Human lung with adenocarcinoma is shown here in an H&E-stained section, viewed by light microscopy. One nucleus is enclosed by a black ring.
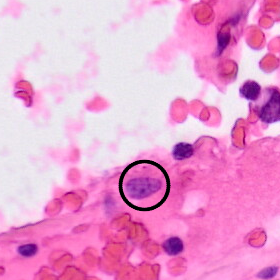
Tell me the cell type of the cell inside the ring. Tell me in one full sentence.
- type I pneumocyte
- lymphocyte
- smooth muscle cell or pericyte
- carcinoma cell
It is a type I pneumocyte that the cell inside the ring represents.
